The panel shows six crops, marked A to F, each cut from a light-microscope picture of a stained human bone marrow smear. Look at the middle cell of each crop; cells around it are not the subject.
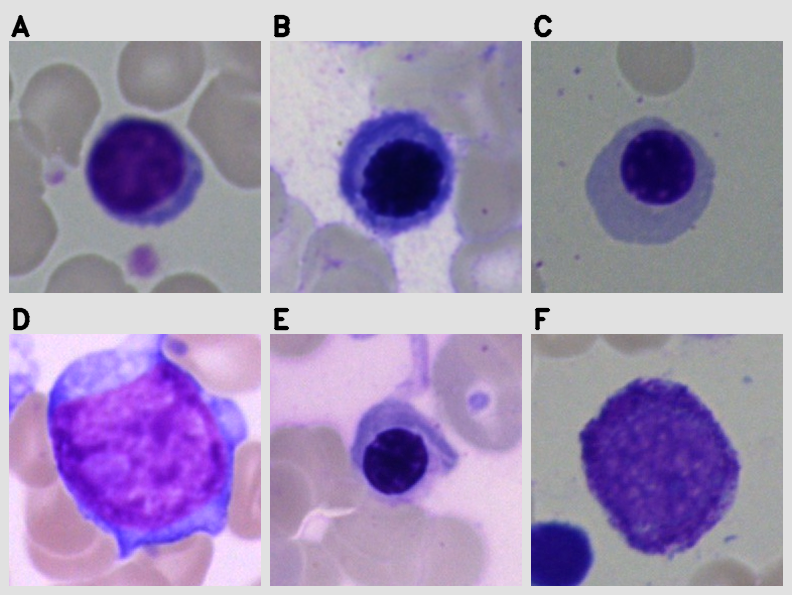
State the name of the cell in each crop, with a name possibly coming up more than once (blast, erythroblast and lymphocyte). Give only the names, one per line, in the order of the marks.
lymphocyte
erythroblast
erythroblast
blast
erythroblast
blast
